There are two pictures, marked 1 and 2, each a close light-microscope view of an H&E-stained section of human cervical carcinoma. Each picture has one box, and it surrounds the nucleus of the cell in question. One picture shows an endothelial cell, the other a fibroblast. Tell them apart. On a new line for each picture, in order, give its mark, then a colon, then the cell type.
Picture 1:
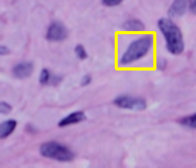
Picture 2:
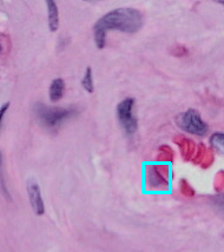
1: fibroblast
2: endothelial cell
